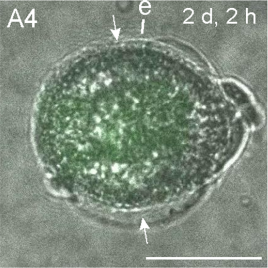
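A single large, rounded-oval microspore is seen, enclosed by a thick, refractile outer wall, the exine, with a small knob-like protrusion of the wall at its right end. The cytoplasm fills the grain and is densely granular, with many small bright refractile particles scattered throughout. A thin outer wall layer stands slightly apart from the cell body along the lower edge, leaving a narrow clear gap. Only a faint, diffuse green tint is present over the cytoplasm.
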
